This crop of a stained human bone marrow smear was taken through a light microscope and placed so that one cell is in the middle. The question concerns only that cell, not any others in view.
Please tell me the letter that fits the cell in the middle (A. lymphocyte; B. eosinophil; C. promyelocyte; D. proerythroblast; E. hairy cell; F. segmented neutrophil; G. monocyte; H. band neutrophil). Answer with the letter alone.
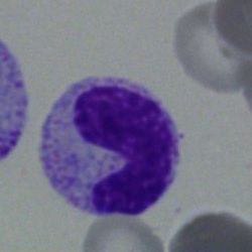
H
